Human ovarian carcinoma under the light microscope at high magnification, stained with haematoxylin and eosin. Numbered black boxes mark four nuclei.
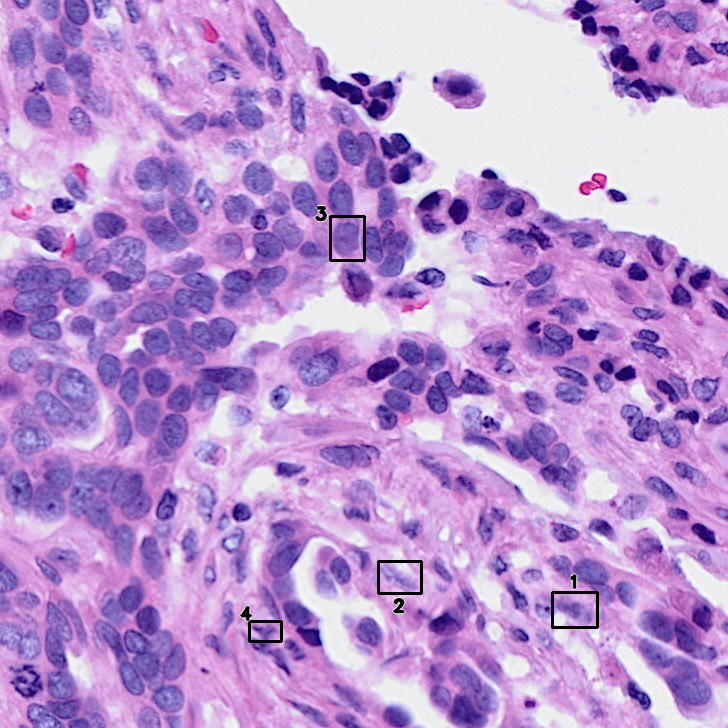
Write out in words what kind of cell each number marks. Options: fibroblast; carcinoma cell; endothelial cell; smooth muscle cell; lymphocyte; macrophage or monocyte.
Cells 1, 2 and 4 are fibroblasts. Cell 3 is a carcinoma cell.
